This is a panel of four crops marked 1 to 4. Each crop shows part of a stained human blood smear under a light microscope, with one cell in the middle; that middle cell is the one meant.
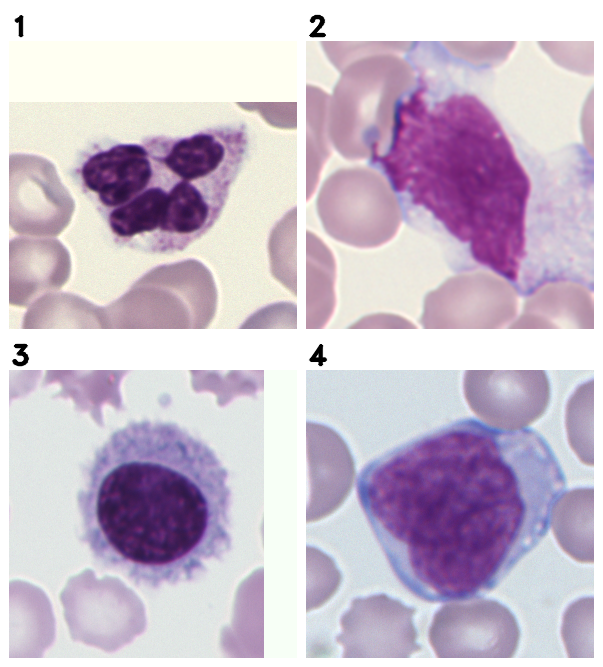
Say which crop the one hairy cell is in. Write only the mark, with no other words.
3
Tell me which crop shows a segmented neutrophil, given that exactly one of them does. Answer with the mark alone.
1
